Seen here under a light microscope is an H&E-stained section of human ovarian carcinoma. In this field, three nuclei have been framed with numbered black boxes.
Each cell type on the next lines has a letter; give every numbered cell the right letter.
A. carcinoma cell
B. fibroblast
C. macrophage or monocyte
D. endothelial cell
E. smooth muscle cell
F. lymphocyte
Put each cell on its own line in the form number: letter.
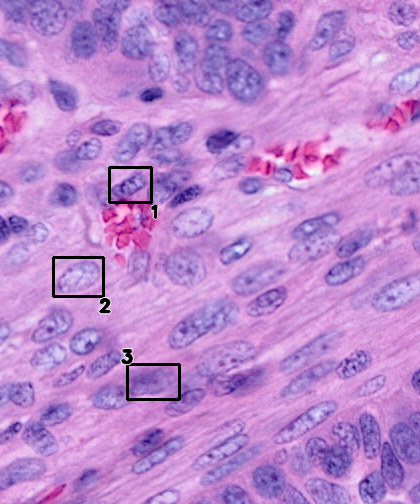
1: D
2: B
3: B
